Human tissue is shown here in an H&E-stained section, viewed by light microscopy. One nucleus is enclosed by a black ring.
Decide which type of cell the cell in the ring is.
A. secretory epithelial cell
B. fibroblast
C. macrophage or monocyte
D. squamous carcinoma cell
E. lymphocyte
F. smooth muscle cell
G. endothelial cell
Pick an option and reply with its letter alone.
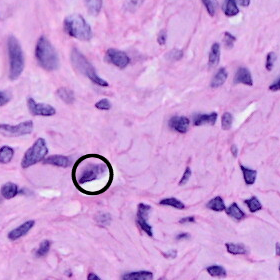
G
